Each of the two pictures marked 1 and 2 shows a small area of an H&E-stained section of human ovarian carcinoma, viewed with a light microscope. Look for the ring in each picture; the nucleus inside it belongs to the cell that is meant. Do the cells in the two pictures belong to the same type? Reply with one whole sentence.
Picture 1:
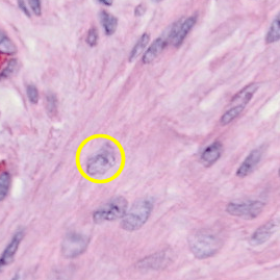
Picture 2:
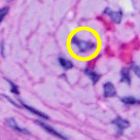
Yes; the cells in both pictures are fibroblasts.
